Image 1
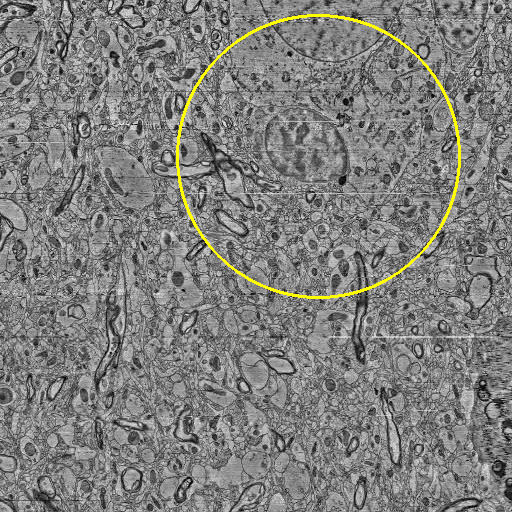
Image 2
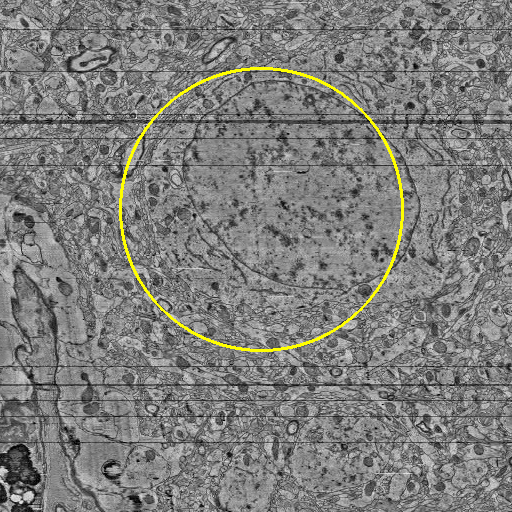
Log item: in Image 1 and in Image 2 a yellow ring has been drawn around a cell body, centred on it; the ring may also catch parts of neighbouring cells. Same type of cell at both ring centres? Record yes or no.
no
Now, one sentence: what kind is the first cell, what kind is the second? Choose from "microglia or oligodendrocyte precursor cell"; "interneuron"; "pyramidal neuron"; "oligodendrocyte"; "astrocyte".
The first picture has an oligodendrocyte at its ring centre, and the second has a pyramidal neuron.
